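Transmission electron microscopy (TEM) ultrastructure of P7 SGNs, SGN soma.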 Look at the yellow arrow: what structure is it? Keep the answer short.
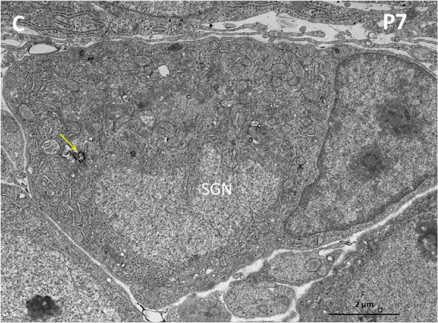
Myelin bodies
